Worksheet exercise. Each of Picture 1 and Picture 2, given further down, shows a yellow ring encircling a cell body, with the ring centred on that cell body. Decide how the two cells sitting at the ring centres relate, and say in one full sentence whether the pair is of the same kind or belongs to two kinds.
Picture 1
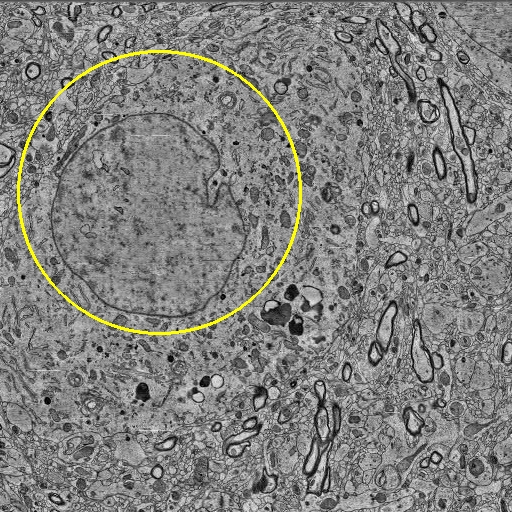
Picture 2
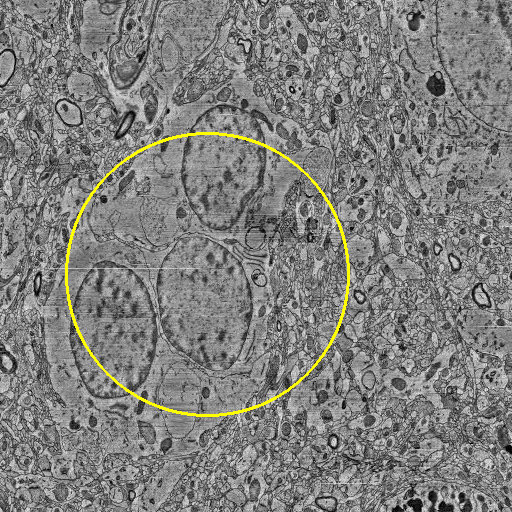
The cells at the ring centres in Picture 1 and Picture 2 belong to two kinds.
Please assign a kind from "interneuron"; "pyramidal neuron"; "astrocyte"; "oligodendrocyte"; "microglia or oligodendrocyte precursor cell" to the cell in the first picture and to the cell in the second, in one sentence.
In the first picture we have a pyramidal neuron, and in the second, an astrocyte.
